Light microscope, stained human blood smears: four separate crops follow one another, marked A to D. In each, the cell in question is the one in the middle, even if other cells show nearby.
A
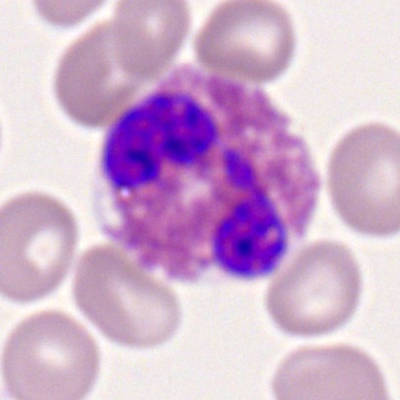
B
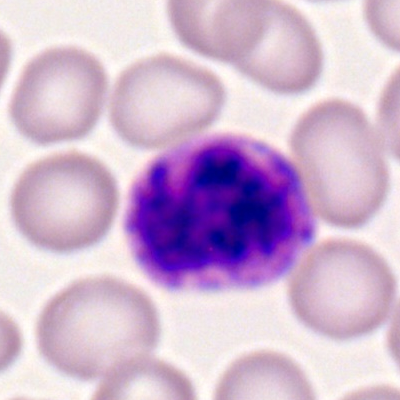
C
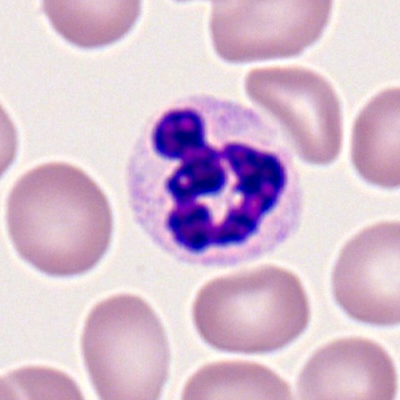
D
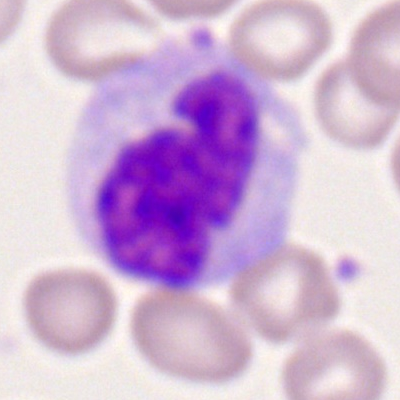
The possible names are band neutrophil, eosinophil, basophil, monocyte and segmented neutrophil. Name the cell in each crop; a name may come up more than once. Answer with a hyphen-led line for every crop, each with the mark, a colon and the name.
- A: eosinophil
- B: basophil
- C: segmented neutrophil
- D: monocyte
